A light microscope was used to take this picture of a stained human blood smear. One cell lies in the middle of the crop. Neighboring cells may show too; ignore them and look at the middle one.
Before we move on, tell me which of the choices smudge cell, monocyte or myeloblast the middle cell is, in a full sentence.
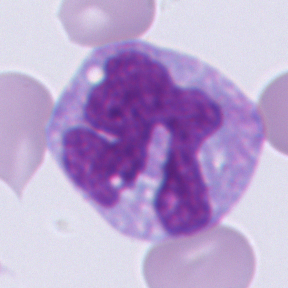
In the center of this field lies a monocyte.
